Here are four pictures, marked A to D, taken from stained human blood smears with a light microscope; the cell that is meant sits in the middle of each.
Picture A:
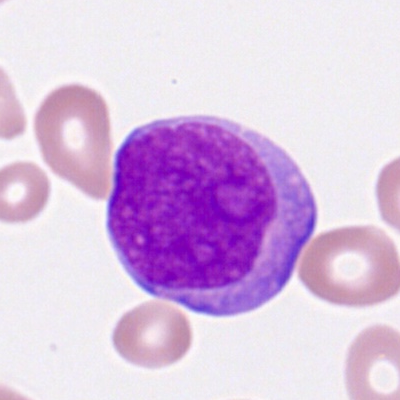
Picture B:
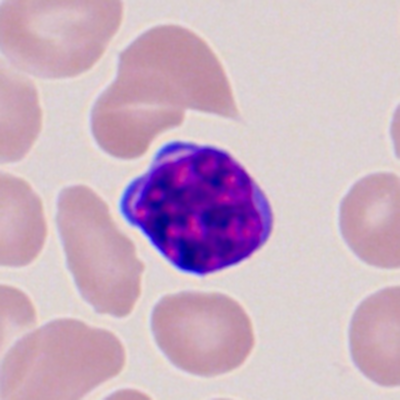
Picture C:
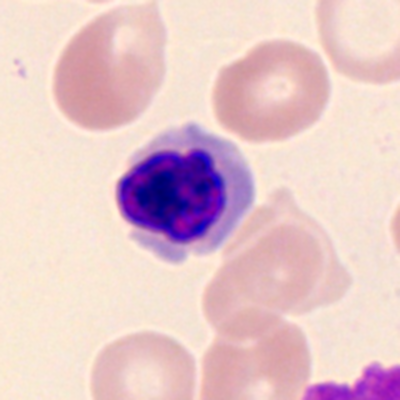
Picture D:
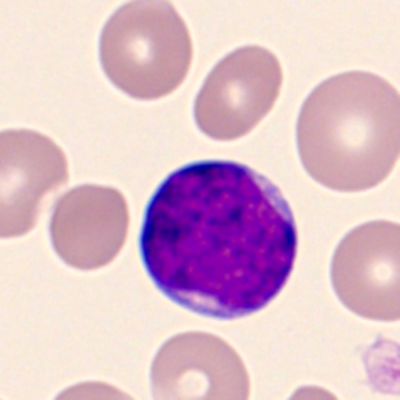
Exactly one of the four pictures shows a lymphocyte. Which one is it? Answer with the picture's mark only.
B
